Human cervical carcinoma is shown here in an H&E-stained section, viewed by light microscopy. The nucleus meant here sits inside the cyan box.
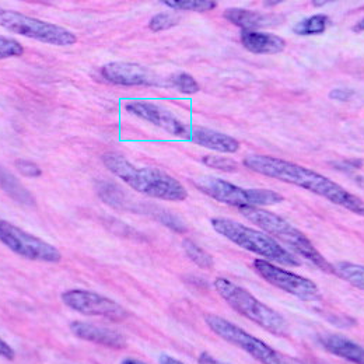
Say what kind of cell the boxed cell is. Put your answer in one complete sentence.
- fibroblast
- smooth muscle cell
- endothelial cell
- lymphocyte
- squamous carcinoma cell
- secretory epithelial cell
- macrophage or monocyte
What the boxed cell represents is a smooth muscle cell.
